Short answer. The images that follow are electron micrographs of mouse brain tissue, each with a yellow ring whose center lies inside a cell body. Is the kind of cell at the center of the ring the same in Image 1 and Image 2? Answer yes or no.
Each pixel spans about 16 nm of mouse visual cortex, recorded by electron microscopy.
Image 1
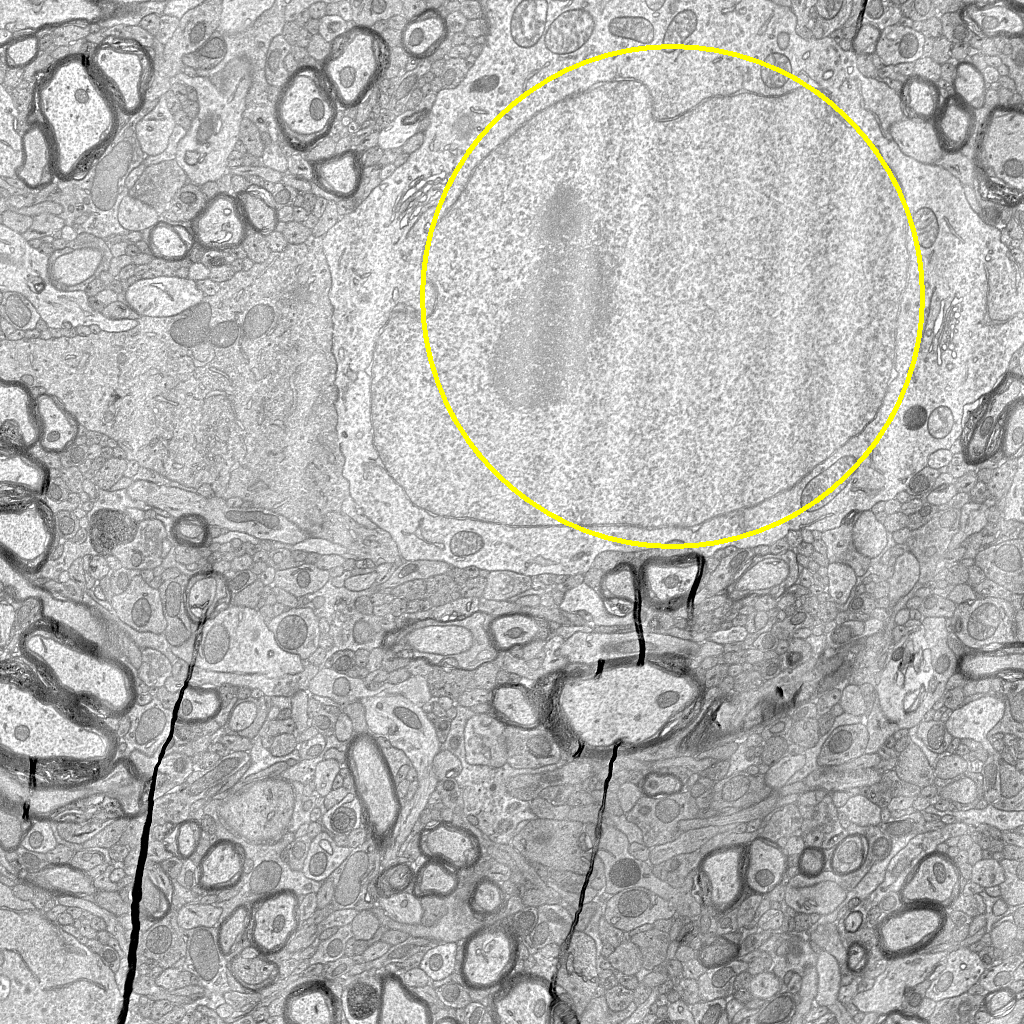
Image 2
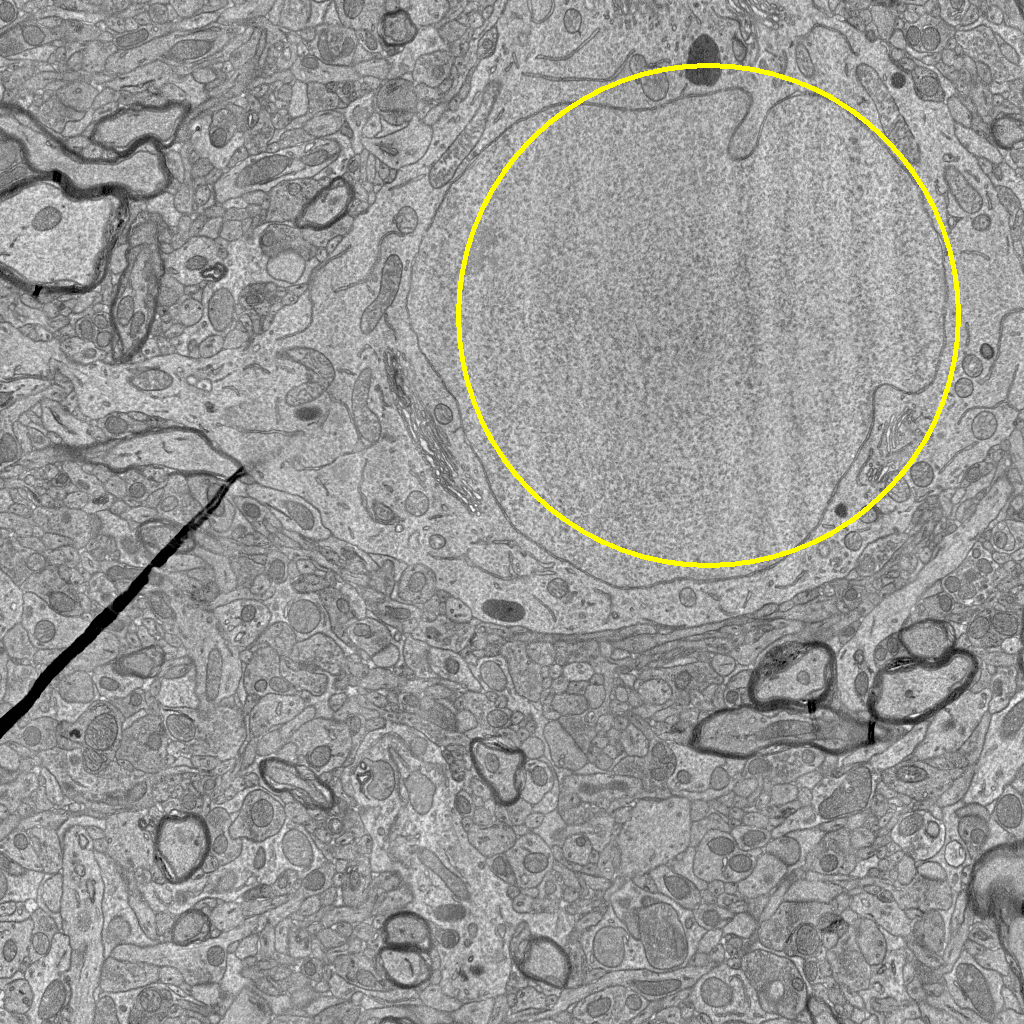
yes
